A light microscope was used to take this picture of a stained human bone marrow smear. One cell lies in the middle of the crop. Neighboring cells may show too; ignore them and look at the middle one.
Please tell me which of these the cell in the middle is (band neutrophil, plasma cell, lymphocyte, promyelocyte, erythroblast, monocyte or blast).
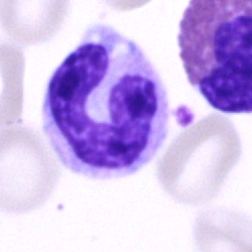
band neutrophil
